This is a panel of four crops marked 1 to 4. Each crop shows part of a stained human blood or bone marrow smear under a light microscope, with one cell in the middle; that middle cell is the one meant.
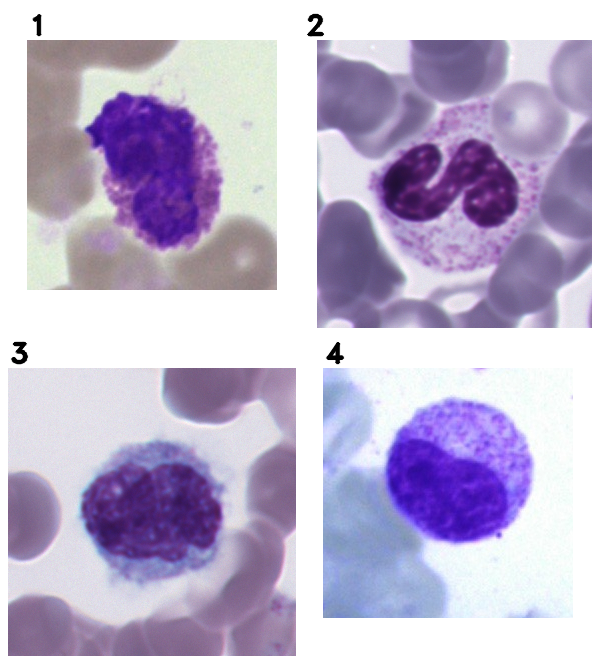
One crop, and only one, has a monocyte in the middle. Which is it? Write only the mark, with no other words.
3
